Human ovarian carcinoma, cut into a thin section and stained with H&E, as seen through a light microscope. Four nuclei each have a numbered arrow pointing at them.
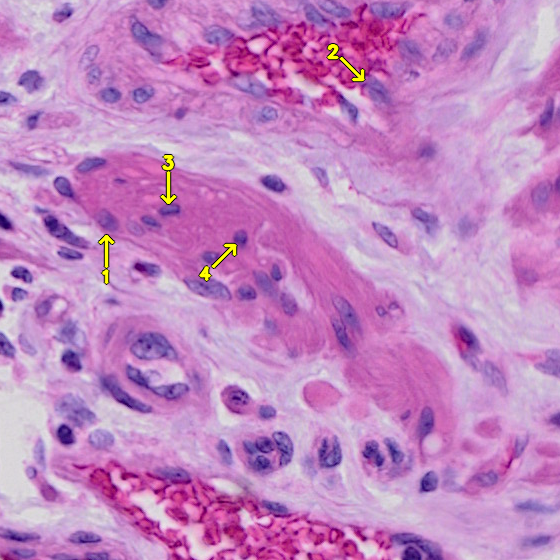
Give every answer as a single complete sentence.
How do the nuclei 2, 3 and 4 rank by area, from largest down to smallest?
Going from the biggest nucleus down to the smallest gives 2, 3, 4.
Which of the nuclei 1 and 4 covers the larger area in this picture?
Number 1 is larger; its area is about 2 times that of number 4.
